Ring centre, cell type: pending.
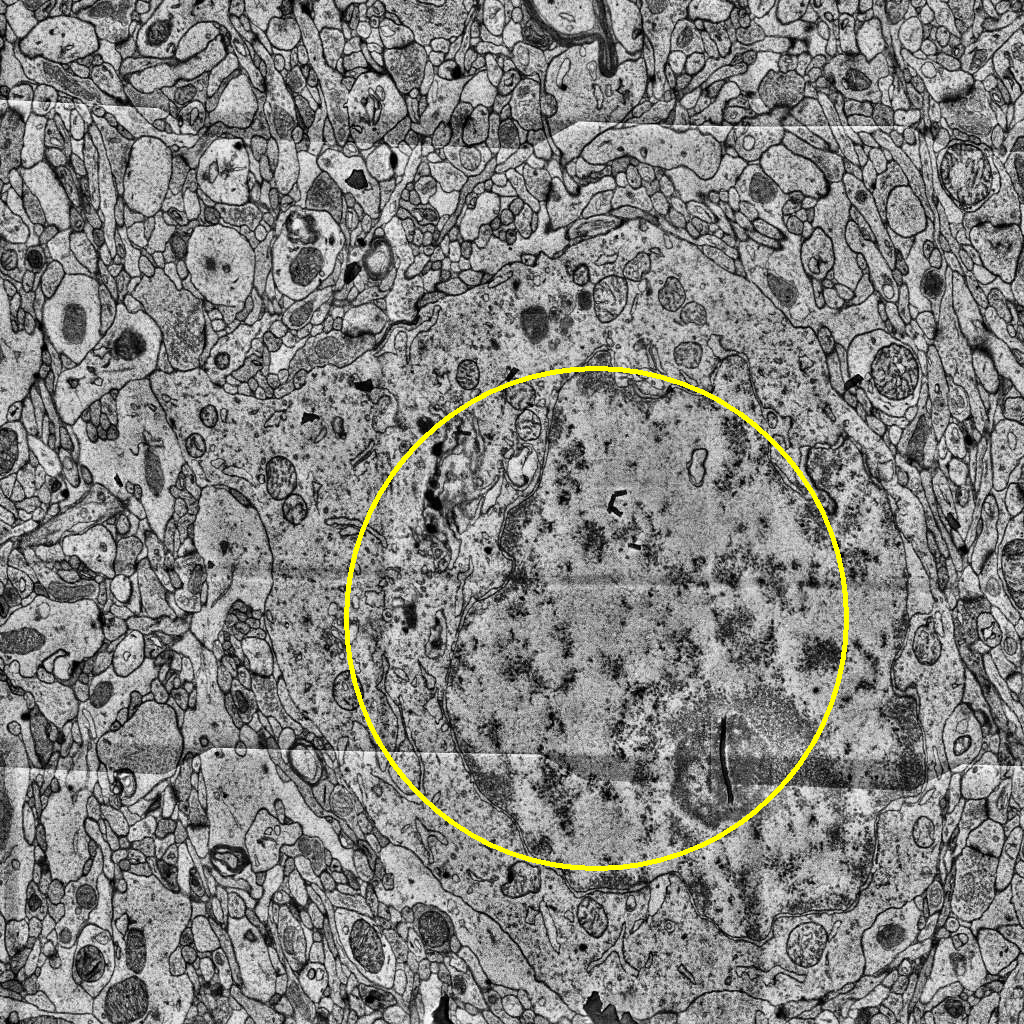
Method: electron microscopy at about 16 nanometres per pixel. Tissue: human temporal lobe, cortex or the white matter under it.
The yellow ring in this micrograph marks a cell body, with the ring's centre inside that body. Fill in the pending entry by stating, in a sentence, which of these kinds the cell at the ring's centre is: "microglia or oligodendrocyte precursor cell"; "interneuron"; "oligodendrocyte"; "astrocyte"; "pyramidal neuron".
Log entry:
The cell at the ring's centre is recorded as an interneuron.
